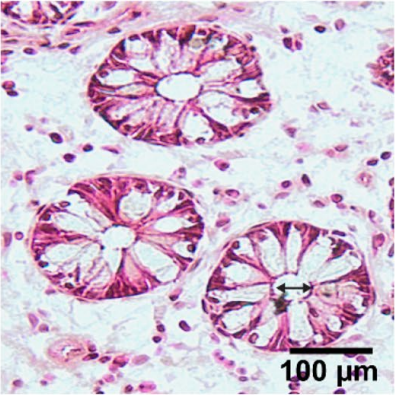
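Three colonic crypts are cut in cross-section, each a round ring of columnar epithelium around a small central lumen. Within each ring many pale, clear, rounded cells radiate like petals between strands of deep pink-purple cytoplasm, with dark nuclei lying toward the outer rim. The crypts sit in loose pale pink connective tissue scattered with small dark nuclei.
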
